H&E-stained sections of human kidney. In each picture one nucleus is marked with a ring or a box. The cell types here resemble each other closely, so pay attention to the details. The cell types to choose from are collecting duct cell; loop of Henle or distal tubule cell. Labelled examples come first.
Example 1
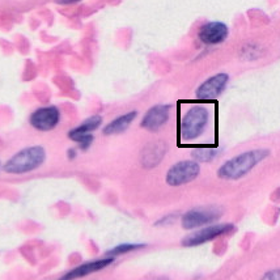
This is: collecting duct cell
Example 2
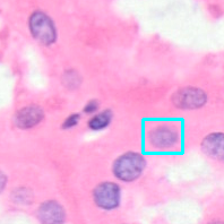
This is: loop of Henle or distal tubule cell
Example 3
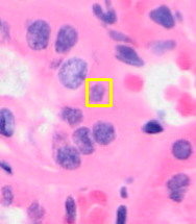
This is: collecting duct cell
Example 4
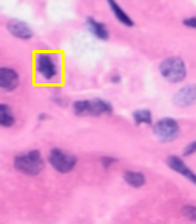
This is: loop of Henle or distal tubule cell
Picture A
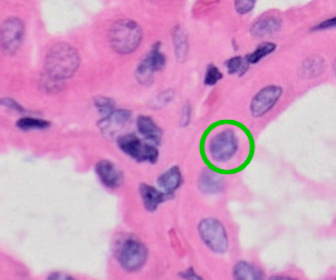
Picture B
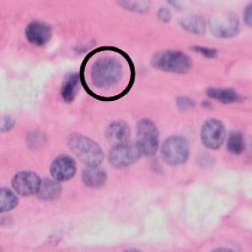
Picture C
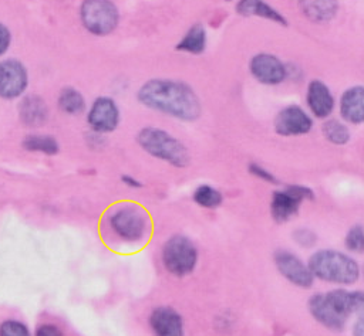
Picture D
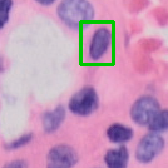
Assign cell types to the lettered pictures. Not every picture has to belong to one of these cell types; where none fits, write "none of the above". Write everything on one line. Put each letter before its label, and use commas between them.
A loop of Henle or distal tubule cell, B loop of Henle or distal tubule cell, C loop of Henle or distal tubule cell, D collecting duct cell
